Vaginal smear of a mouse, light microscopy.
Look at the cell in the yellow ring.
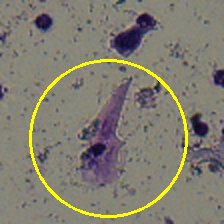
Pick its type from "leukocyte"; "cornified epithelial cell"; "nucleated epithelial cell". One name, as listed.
cornified epithelial cell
